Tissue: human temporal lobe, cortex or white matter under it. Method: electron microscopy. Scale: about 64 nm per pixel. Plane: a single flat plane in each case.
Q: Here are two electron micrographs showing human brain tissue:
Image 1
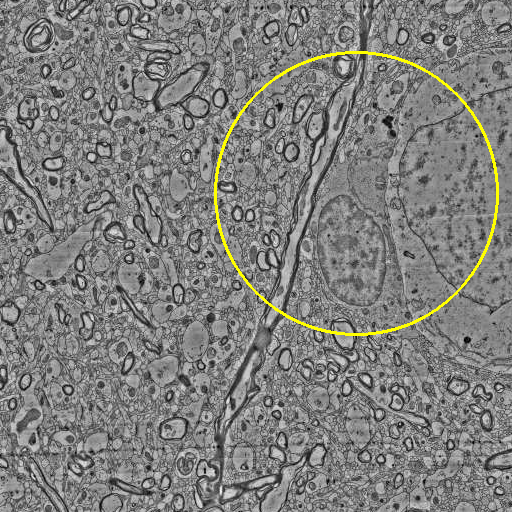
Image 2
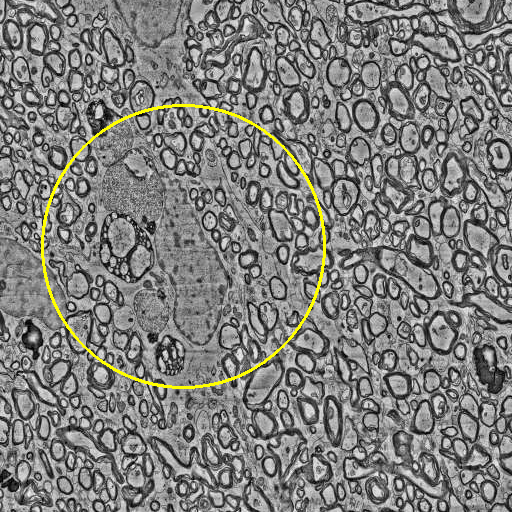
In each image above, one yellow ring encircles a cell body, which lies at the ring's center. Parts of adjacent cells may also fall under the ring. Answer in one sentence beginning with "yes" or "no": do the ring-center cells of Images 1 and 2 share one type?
No, in Images 1 and 2, the ring-center cells are of two types.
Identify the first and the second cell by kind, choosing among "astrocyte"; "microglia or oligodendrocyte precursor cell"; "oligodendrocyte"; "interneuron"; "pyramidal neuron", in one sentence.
The one in the first picture is an oligodendrocyte, while the one in the second is an astrocyte.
